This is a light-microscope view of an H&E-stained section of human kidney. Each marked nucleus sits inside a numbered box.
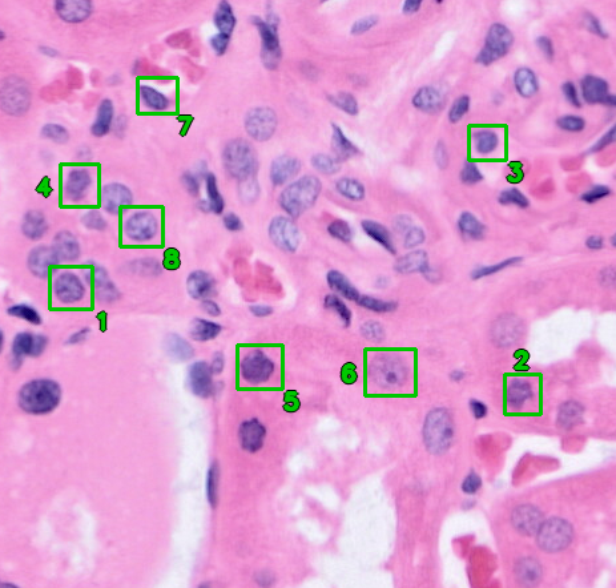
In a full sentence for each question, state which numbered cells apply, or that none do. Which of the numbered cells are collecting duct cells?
The cells which carry the numbers 1, 4 and 8 are collecting duct cells.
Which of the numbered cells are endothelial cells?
Cells 3 and 7 in the section are typed as endothelial cells.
